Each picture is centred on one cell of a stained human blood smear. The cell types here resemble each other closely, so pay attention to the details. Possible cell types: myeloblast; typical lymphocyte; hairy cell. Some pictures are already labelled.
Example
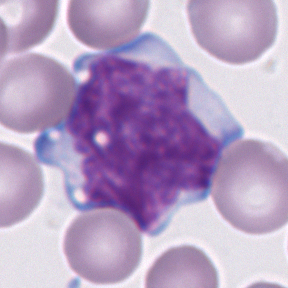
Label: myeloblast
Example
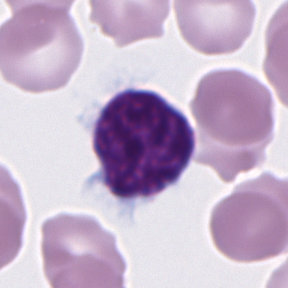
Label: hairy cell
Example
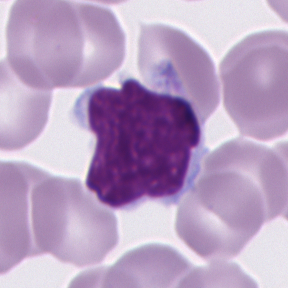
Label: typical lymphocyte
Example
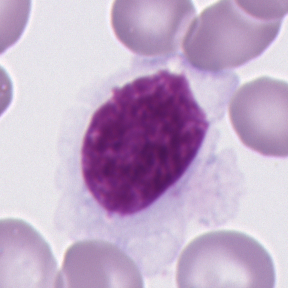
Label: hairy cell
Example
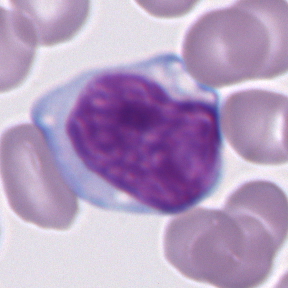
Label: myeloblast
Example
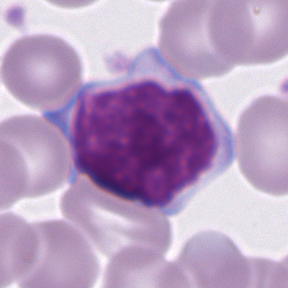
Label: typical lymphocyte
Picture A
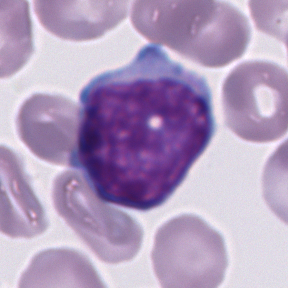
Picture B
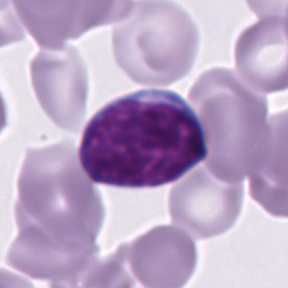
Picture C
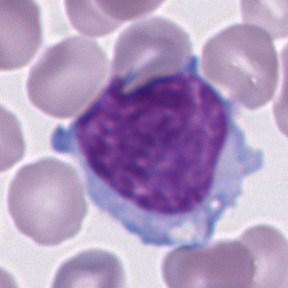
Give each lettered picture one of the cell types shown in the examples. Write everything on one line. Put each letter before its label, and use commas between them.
A myeloblast, B typical lymphocyte, C myeloblast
